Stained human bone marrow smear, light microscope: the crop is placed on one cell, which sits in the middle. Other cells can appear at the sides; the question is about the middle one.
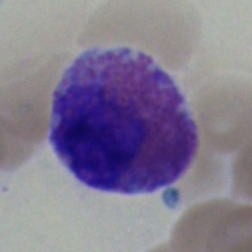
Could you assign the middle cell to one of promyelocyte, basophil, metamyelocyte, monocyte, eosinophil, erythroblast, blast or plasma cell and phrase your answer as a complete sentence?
As for the central cell, it is an eosinophil.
